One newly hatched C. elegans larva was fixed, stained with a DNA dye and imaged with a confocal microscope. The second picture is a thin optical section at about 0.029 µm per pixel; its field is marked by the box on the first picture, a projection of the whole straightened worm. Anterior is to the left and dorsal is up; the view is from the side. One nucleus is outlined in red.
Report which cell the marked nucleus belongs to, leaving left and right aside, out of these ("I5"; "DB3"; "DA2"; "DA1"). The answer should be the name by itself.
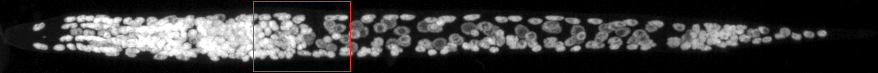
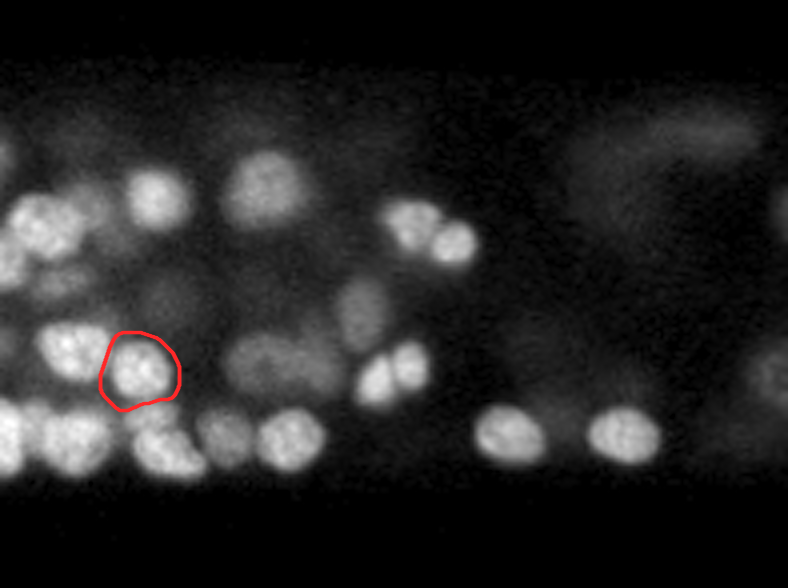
I5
